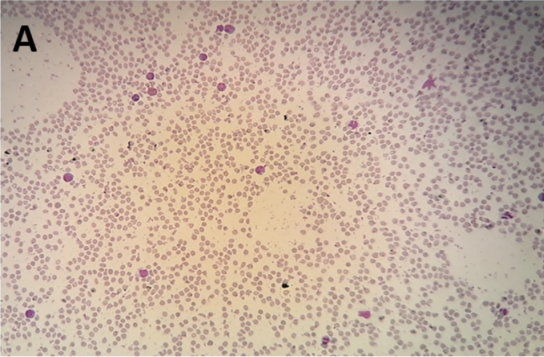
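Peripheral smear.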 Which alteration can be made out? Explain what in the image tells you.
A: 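Many purple nucleated cells are scattered across the field. The nucleated cells lie among densely packed red blood cells at low magnification.
Conclusion: leukocytosis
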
